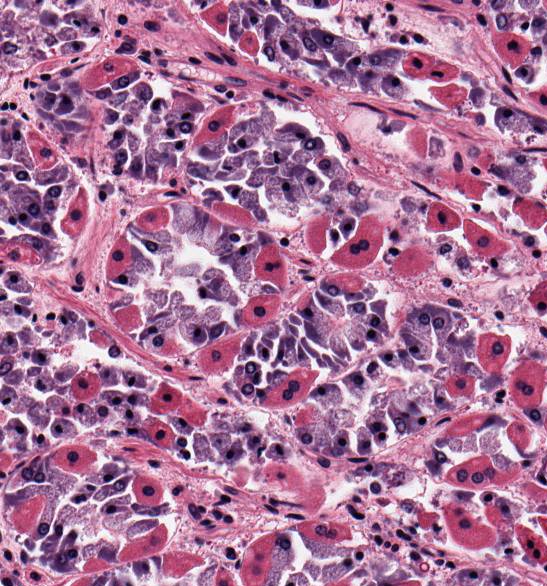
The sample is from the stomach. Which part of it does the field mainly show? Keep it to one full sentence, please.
The part of the tissue seen in this section is fundic glands.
